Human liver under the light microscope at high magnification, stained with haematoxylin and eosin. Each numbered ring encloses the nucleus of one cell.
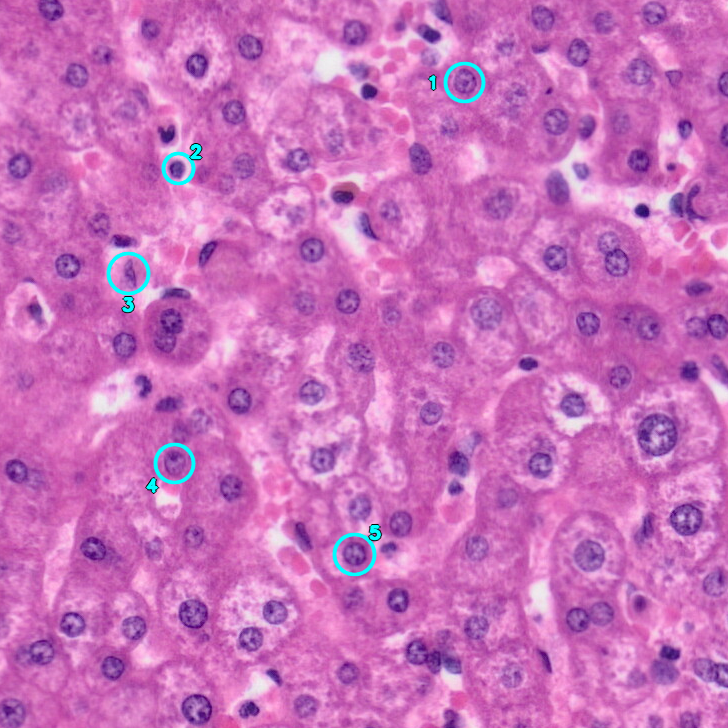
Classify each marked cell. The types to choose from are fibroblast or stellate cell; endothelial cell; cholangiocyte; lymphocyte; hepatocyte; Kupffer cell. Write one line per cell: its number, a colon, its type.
1: hepatocyte
2: lymphocyte
3: Kupffer cell
4: hepatocyte
5: hepatocyte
